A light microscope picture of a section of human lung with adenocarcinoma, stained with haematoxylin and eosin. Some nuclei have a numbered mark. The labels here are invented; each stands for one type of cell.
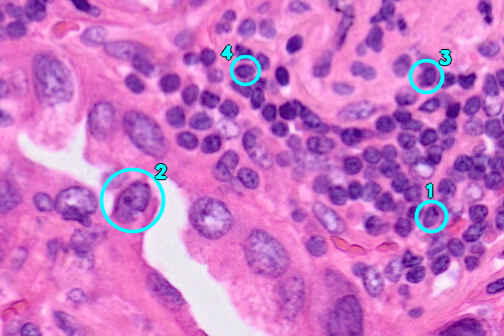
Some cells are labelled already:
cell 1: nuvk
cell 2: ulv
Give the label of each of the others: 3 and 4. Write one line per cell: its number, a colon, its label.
3: nuvk
4: nuvk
